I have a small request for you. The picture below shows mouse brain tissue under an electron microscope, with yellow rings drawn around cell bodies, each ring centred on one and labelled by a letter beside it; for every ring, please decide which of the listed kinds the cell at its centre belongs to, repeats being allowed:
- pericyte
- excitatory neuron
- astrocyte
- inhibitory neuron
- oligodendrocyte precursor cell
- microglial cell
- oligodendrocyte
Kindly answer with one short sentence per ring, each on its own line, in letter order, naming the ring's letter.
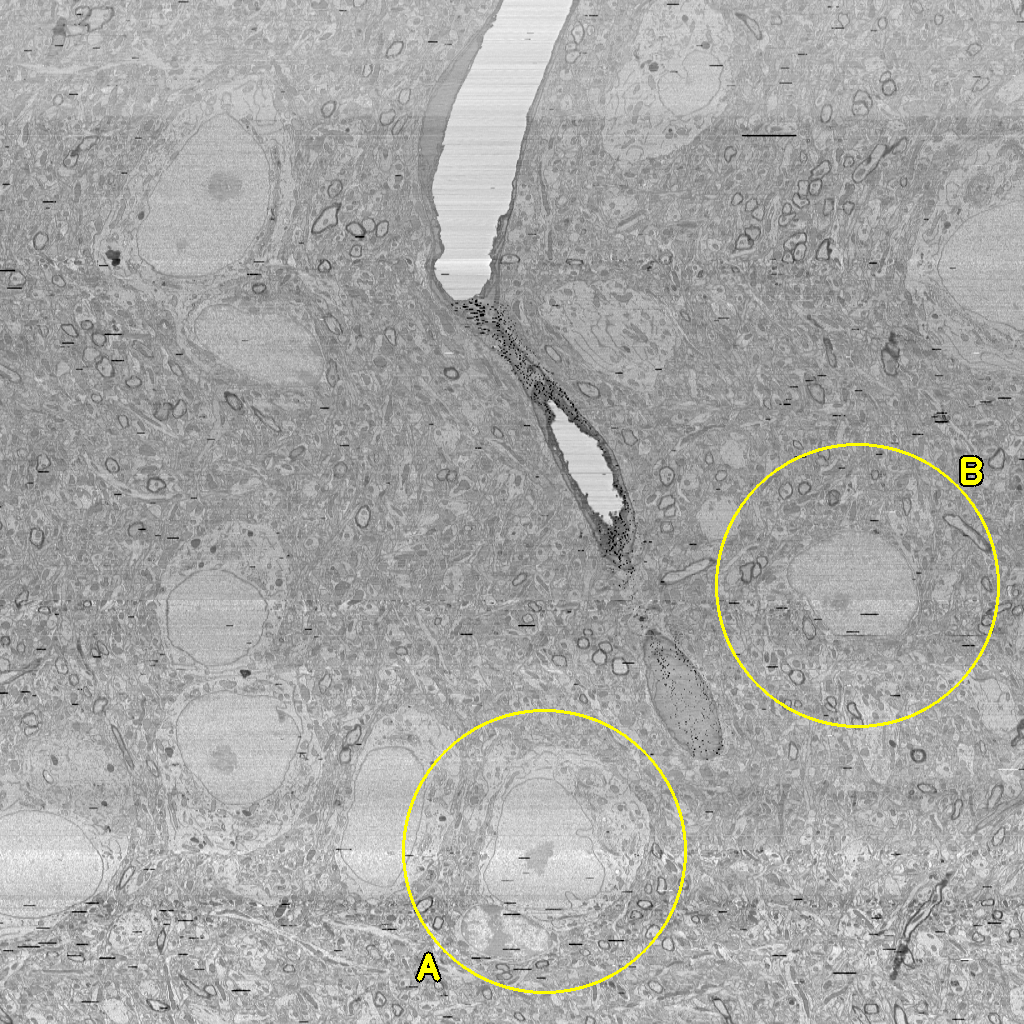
Ring A shows an excitatory neuron at its centre.
Ring B shows an astrocyte at its centre.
